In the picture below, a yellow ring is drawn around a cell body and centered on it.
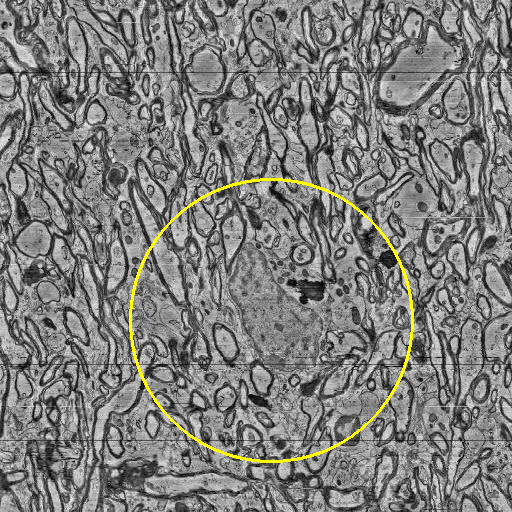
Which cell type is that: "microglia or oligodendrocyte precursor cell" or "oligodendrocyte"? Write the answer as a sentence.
The cell centered in the ring is an oligodendrocyte.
